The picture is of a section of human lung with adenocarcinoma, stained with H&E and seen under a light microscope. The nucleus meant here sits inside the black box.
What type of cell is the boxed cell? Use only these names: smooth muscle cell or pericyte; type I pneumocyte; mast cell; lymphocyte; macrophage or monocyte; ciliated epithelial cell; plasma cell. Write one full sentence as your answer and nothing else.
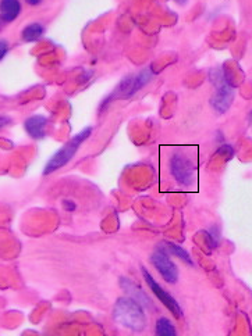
The classification of the boxed cell is as a type I pneumocyte.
